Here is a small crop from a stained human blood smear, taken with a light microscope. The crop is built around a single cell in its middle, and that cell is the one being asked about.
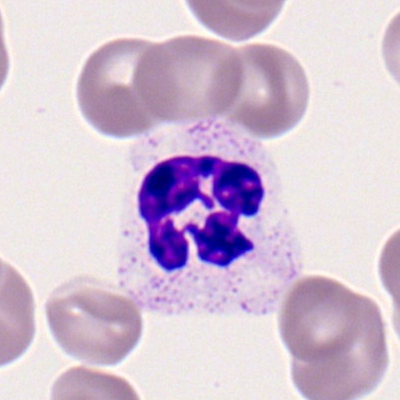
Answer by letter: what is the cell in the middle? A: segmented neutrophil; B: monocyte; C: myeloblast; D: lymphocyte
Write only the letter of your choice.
A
